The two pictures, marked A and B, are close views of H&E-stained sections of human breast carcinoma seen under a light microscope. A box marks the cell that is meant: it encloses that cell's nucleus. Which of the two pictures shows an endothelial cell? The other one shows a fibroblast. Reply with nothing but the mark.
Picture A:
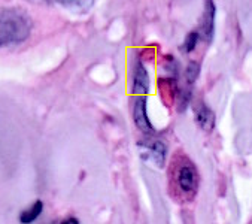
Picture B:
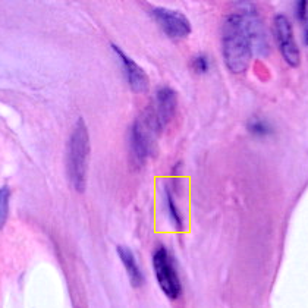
A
